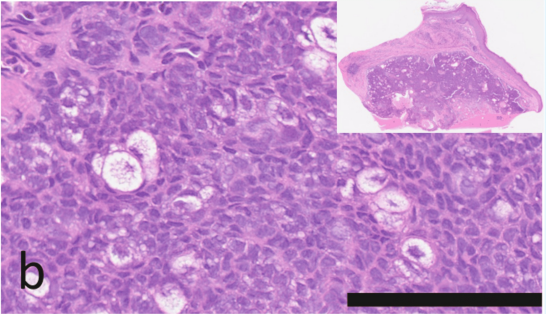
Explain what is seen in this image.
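This is a tumor of sebaceous type seen at high power: a dense sheet of crowded tumor cells with purple, irregular nuclei that vary in size and shape, with little pink cytoplasm between them. Scattered through the sheet are cells whose cytoplasm is filled with clear, round, bubbly vacuoles, some forming small rings that push on or surround the nucleus, giving a picture of sebaceous differentiation.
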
